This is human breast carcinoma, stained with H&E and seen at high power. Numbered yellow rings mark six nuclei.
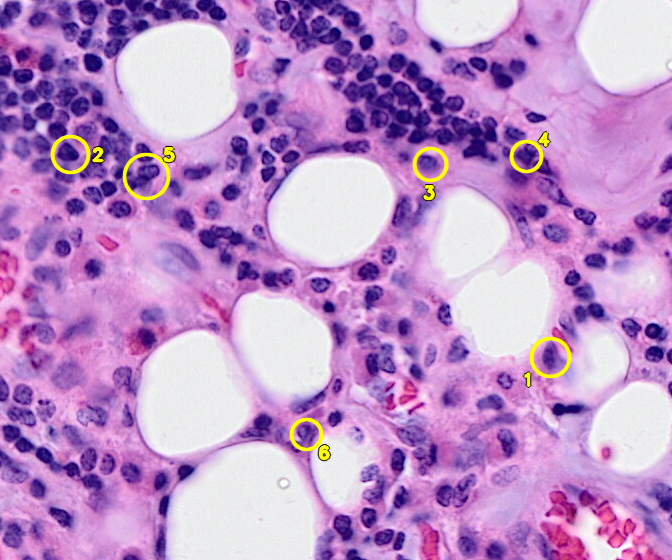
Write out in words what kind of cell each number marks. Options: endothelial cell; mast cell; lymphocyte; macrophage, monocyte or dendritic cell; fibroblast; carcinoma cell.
Cell 1 is an endothelial cell, cell 2 is a lymphocyte, cell 3 is a mast cell, cell 4 is a lymphocyte, cell 5 is a lymphocyte and cell 6 is an endothelial cell.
